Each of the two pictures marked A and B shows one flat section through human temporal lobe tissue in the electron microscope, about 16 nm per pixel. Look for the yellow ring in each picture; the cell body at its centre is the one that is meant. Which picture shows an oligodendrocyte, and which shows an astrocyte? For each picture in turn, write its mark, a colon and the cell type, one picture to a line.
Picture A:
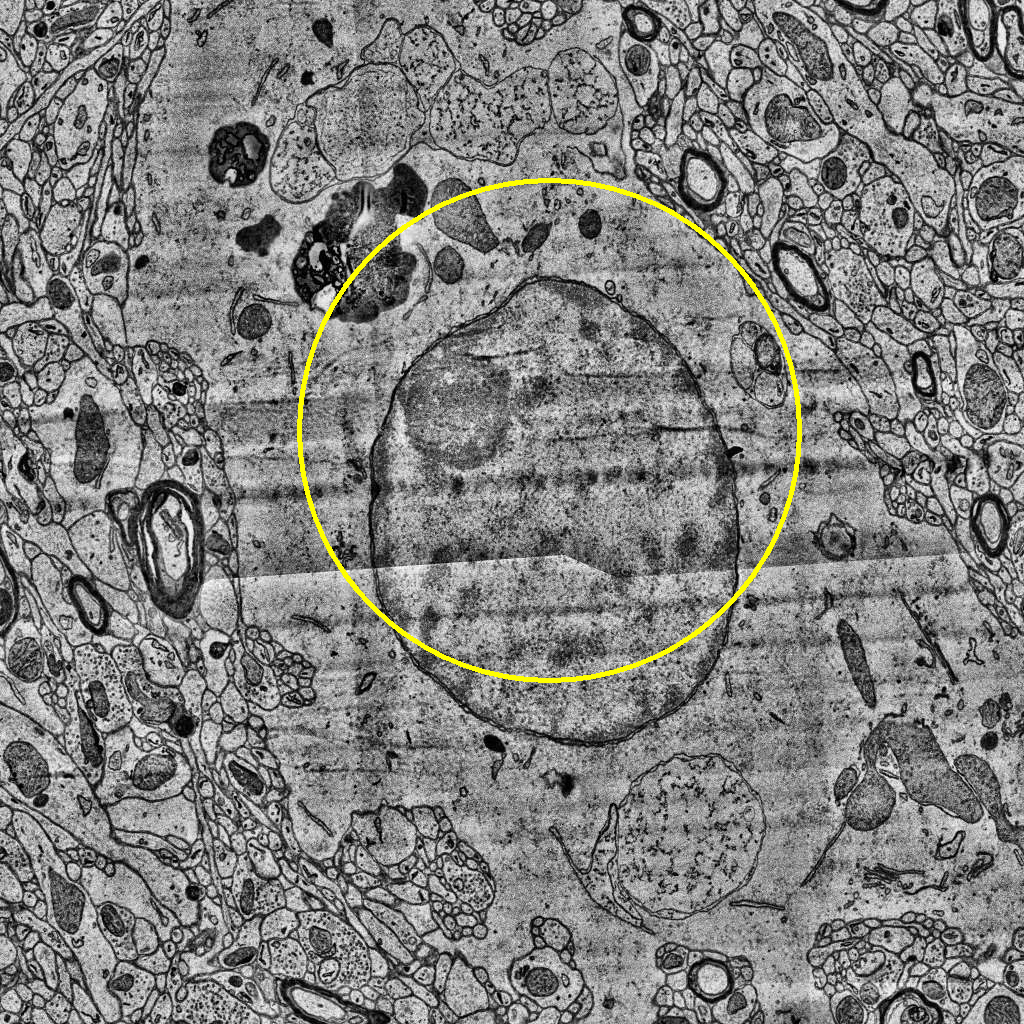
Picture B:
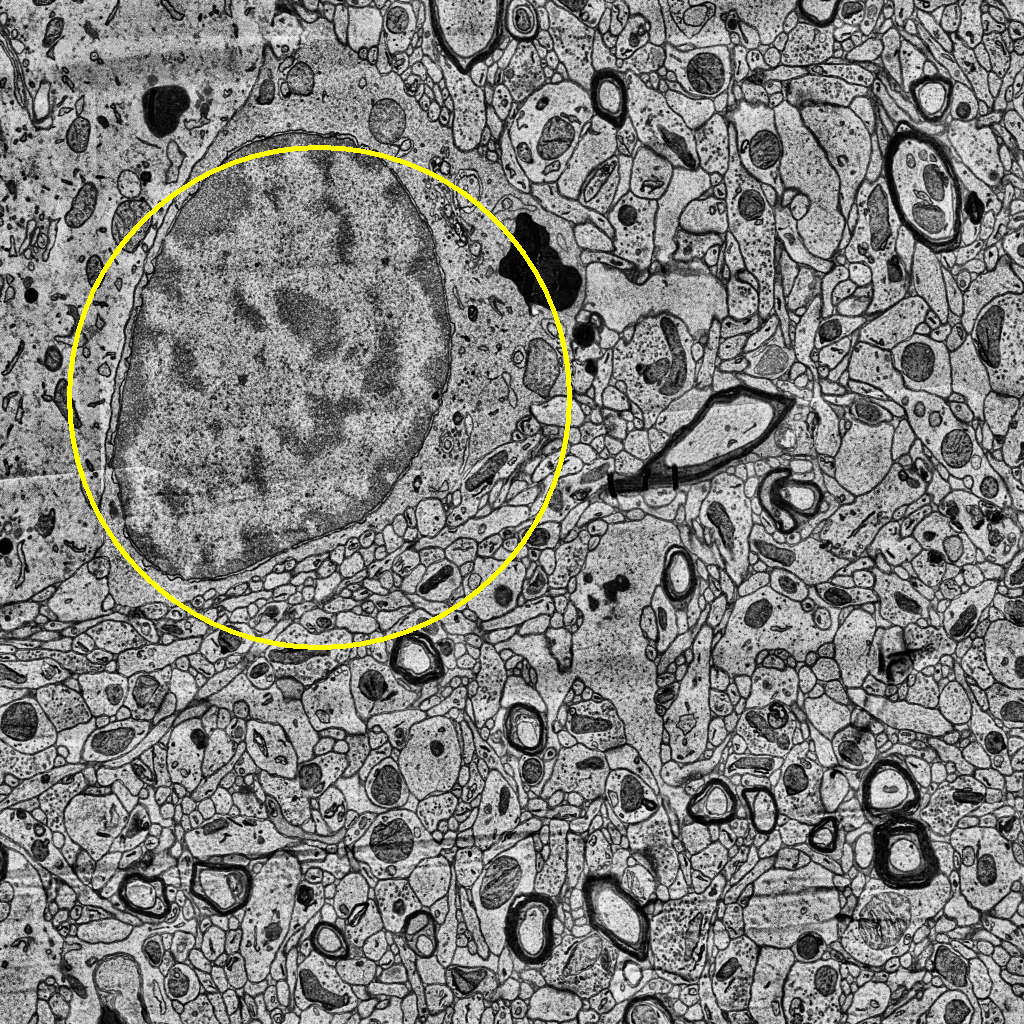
A: astrocyte
B: oligodendrocyte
